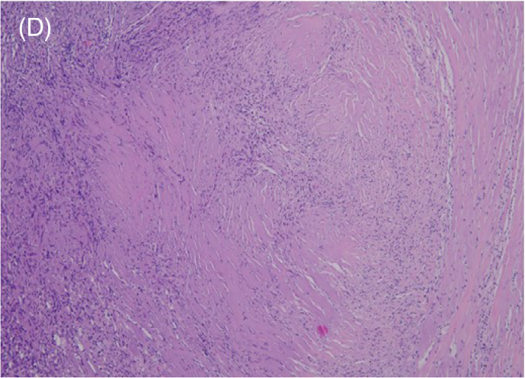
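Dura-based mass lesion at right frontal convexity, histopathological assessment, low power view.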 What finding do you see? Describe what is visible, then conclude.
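Pink fibrous bands run in swirling, whorled directions. Cellular areas are interwoven between the curving collagen bundles. So: irregularly storiform fibrosis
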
